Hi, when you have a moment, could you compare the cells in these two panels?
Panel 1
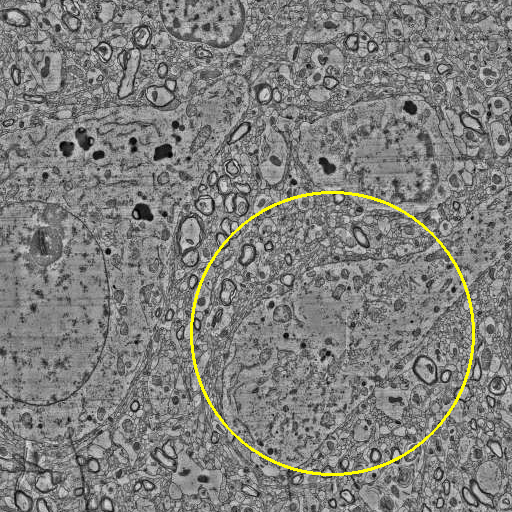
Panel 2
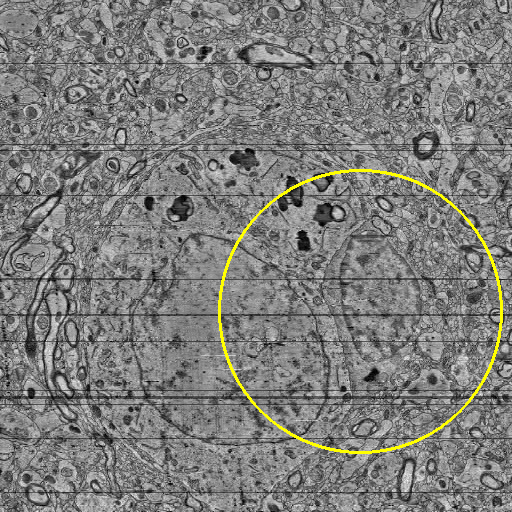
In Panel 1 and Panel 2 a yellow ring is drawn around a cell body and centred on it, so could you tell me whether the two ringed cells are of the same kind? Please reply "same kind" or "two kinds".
two kinds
